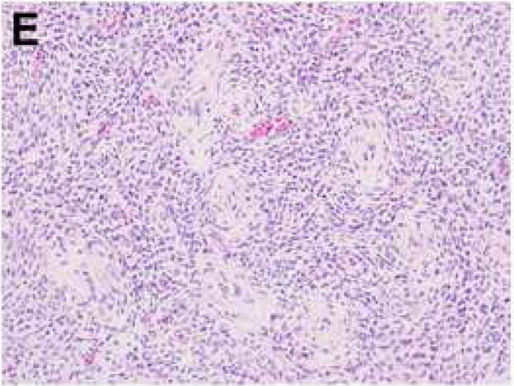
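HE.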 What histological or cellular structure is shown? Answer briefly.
Whorls around small vessels.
